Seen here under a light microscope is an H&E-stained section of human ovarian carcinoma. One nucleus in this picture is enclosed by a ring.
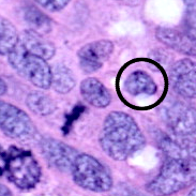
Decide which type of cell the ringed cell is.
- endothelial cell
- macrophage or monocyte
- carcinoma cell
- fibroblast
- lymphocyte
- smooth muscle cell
macrophage or monocyte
